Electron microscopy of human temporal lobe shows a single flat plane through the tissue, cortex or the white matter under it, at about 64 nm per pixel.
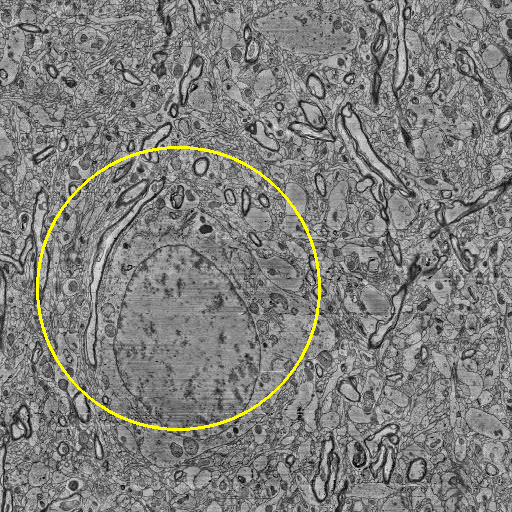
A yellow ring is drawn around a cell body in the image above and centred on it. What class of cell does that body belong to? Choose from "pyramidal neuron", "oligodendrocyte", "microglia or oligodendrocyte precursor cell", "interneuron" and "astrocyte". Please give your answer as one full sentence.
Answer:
The yellow ring above is centred on the cell body of a pyramidal neuron.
